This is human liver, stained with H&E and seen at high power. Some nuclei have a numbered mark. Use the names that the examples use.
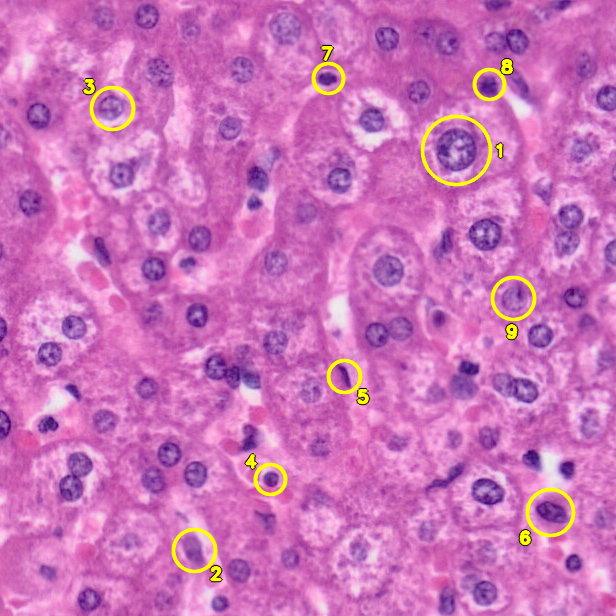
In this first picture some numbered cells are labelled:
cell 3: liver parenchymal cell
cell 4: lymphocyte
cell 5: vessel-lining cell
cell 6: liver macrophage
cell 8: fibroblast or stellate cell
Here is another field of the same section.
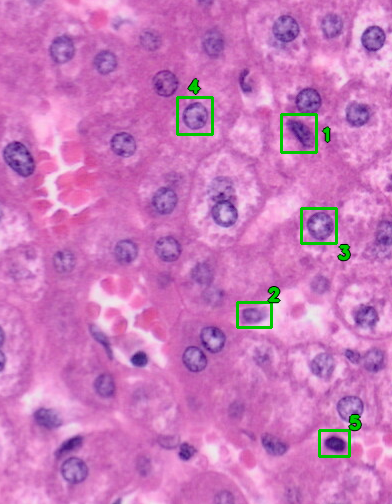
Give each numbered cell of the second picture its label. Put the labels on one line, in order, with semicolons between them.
fibroblast or stellate cell; liver macrophage; liver parenchymal cell; liver parenchymal cell; lymphocyte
